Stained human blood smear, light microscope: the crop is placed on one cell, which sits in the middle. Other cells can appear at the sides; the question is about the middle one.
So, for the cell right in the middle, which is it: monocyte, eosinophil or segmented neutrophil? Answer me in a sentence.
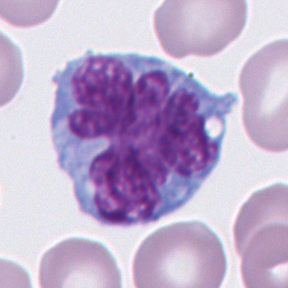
As for the cell in the middle, it is a monocyte.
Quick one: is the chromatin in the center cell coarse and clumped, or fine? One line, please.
The chromatin within its nucleus forms coarse clumps.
